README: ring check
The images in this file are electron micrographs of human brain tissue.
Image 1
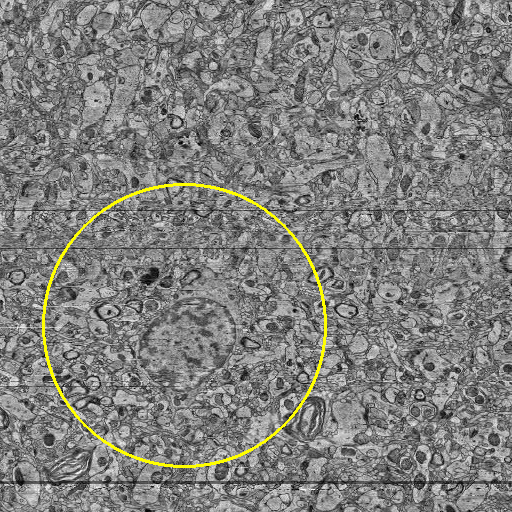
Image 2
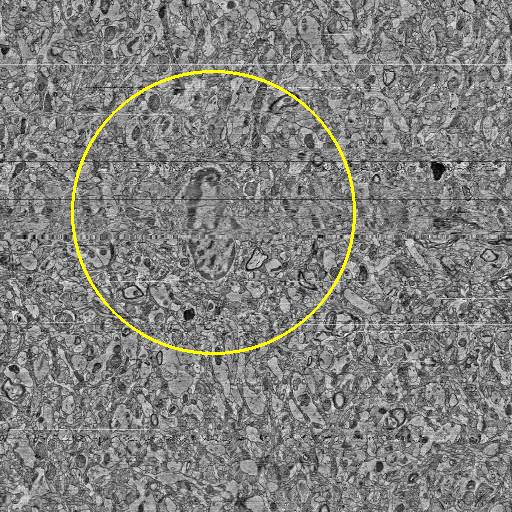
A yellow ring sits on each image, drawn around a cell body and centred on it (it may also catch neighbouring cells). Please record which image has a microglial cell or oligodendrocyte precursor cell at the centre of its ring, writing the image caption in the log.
Image 2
